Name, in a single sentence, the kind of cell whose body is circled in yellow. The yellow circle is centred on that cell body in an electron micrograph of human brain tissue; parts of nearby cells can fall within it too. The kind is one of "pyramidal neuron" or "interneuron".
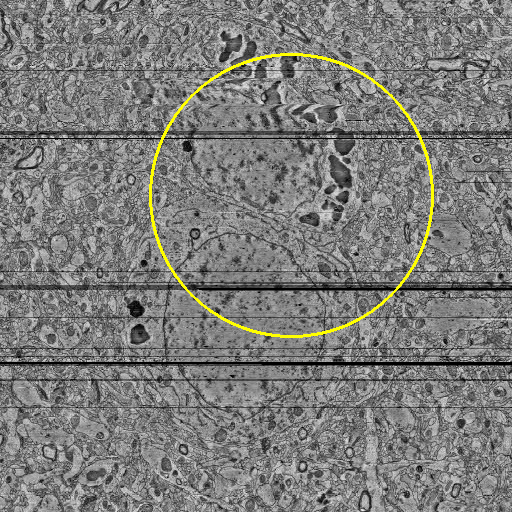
The circled cell body belongs to an interneuron.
